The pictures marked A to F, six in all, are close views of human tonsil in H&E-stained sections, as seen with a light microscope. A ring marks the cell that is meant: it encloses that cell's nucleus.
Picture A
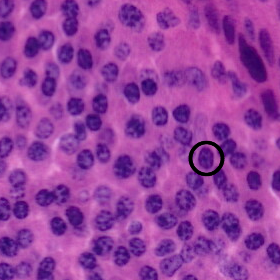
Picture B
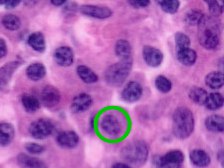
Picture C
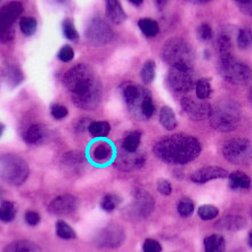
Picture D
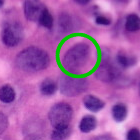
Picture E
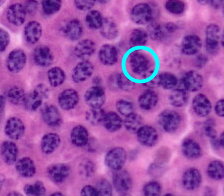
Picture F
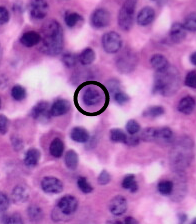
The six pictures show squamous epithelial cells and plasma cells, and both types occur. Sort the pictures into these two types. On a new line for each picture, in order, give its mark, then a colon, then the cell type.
A: plasma cell
B: plasma cell
C: squamous epithelial cell
D: squamous epithelial cell
E: plasma cell
F: plasma cell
